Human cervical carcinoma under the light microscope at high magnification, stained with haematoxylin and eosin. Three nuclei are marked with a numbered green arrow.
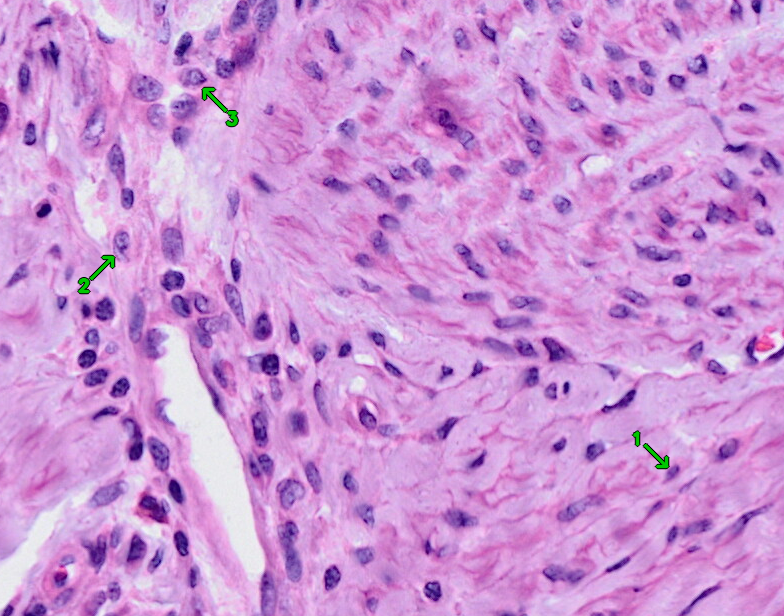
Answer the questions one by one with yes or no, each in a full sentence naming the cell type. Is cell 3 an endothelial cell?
Yes, it is an endothelial cell that number 3 identifies.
